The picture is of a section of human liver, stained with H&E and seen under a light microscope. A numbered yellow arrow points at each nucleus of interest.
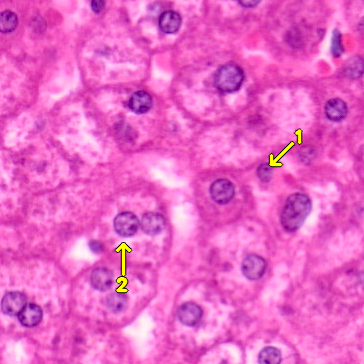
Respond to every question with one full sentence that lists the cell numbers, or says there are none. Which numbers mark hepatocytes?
Cell 2 is a hepatocyte, and it is the only one.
